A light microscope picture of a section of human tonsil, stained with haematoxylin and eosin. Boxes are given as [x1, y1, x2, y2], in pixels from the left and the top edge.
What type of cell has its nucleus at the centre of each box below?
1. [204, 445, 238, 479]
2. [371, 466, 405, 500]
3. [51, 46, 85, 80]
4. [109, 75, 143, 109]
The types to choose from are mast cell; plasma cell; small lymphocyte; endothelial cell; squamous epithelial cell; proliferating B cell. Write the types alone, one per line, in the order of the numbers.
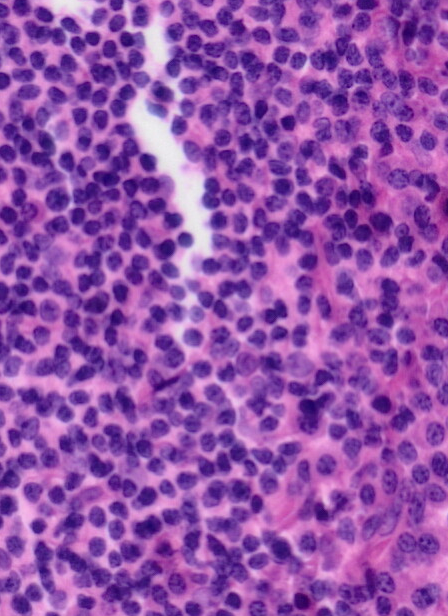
small lymphocyte
plasma cell
small lymphocyte
small lymphocyte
